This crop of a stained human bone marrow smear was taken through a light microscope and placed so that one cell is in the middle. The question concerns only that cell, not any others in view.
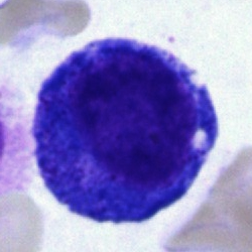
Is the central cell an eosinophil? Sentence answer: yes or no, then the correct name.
No, instead of an eosinophil, the centred cell represents a promyelocyte.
